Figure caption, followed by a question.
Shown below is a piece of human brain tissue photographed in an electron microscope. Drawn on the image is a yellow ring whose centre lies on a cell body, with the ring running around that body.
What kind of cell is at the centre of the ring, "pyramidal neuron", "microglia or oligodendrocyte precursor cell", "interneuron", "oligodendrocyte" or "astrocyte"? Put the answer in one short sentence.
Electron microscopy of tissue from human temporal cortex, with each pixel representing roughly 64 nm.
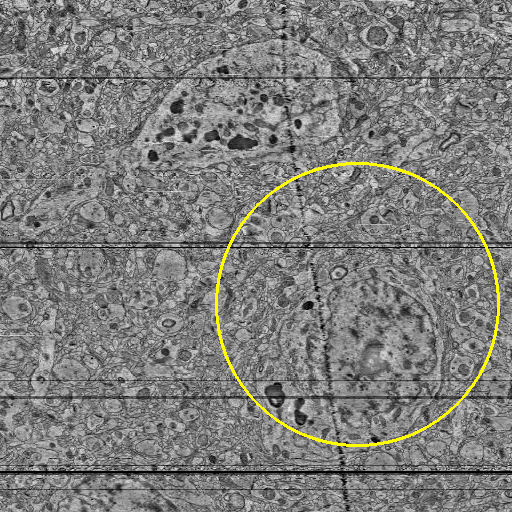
The ring marks the cell body of an interneuron.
